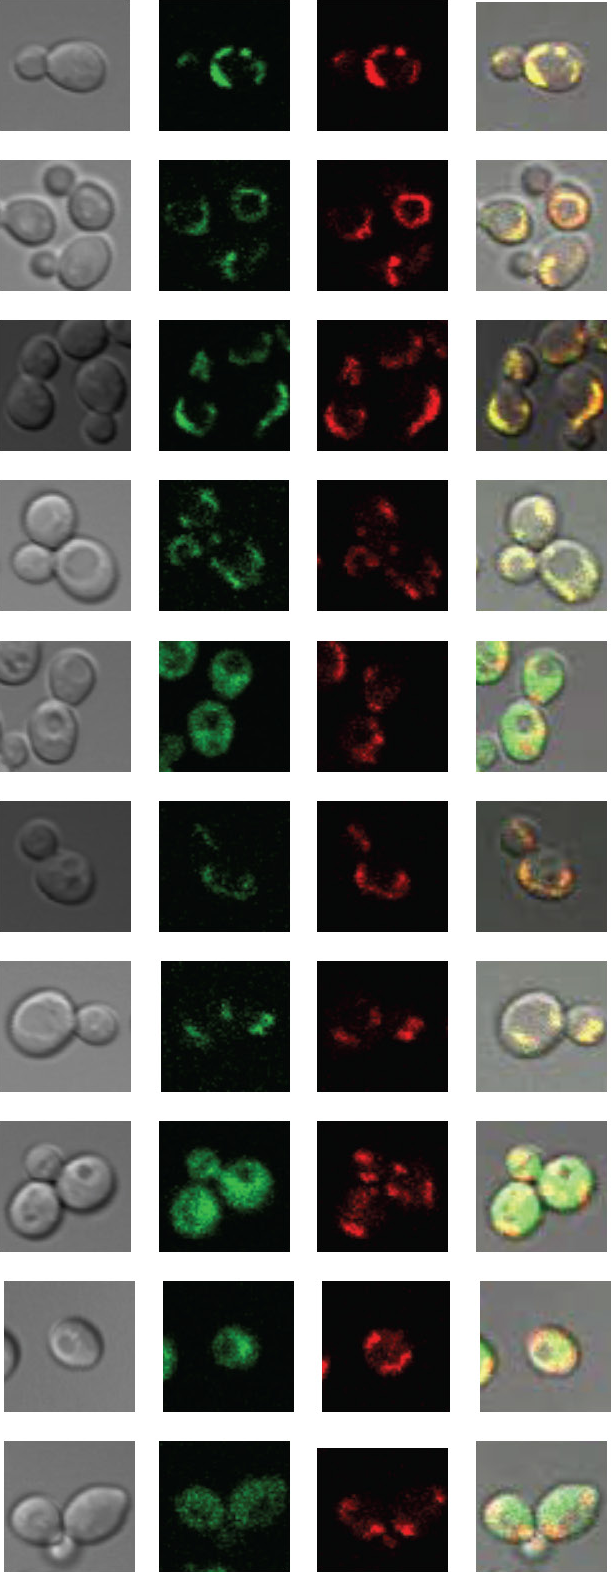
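A grid of small, round to oval cells, several carrying a bud, is shown in grey interference contrast beside green, red and merged fluorescence views of the same cells. In several rows the green signal takes the same curved, patchy pattern, and the merged views turn yellow where green and red coincide. In other rows the green fills the body of the cell more evenly, and the merge stays mostly green, with the red streaks showing separately.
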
